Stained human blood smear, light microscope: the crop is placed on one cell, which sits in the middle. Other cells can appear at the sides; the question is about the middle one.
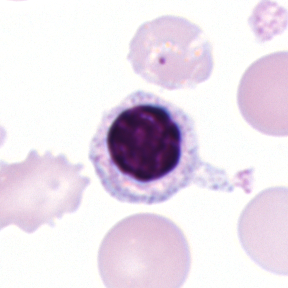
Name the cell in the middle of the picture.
normoblast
